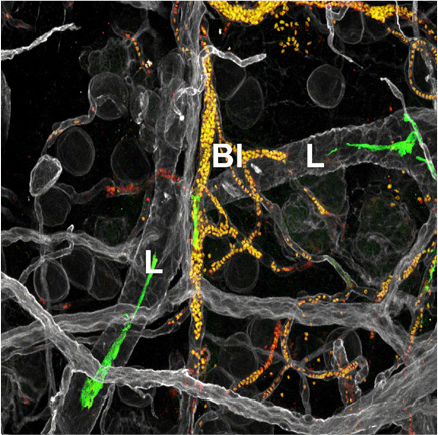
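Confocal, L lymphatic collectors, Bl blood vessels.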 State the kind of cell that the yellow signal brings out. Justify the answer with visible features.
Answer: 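Erythrocytes. Small round yellow bodies are packed in rows inside branching vessels. The yellow bodies are of uniform size and fill the vessel lumen.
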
